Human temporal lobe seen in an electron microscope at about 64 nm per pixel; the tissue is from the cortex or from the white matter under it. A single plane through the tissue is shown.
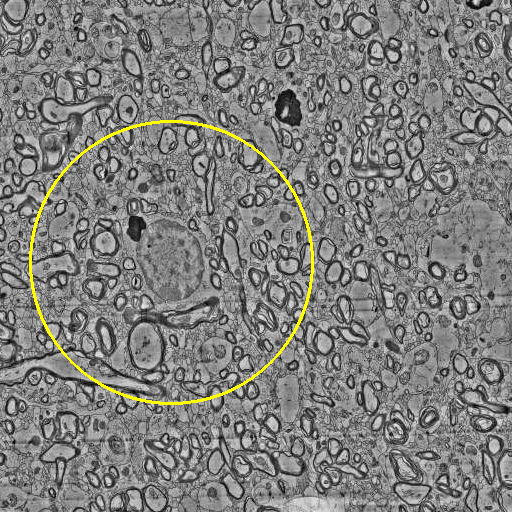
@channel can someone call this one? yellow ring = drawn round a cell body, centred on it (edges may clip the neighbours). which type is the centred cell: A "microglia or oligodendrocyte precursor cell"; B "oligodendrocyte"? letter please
B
